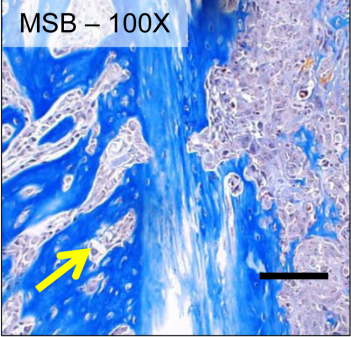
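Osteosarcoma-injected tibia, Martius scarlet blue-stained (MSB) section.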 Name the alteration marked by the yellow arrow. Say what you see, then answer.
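Irregular blue-stained bone spicules lie on the outer side of the cortex. Spicules are separated by spaces holding cells.
Conclusion: periosteal osteoblastic reaction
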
